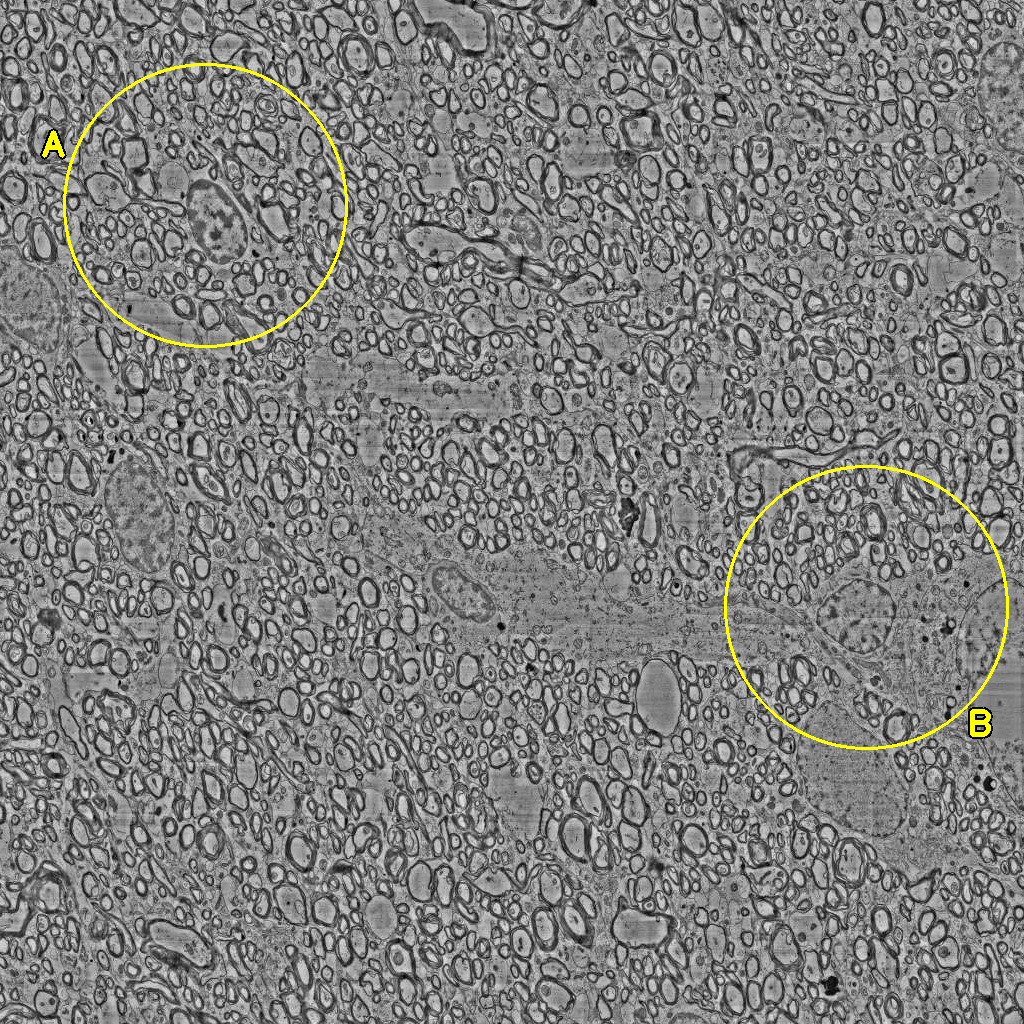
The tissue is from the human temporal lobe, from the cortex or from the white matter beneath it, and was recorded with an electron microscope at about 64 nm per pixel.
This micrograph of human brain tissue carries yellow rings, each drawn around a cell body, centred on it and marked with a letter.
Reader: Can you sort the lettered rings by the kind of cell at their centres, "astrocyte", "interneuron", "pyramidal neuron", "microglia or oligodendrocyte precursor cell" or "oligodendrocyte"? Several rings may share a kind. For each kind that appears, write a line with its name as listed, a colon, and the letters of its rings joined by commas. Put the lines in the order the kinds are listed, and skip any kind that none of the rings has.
microglia or oligodendrocyte precursor cell: A, B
